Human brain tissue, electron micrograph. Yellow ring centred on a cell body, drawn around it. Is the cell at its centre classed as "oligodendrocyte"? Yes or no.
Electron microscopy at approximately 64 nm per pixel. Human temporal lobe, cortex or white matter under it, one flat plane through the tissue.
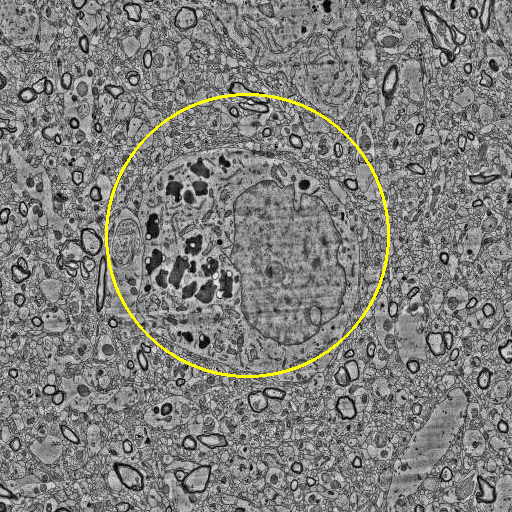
No, it is classed as another kind.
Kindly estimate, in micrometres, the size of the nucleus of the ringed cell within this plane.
The nucleus measures about 11 by 7 micrometres in this plane.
